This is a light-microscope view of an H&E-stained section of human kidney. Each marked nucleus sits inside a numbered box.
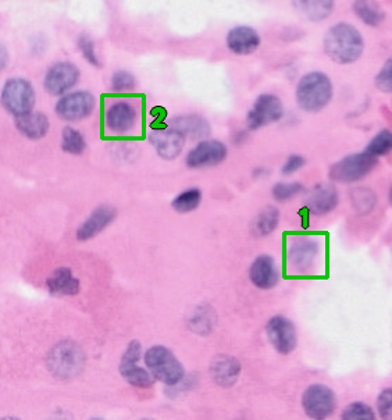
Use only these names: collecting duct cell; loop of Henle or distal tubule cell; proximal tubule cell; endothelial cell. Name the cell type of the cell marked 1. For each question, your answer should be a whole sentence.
The cell numbered 1 represents a loop of Henle or distal tubule cell.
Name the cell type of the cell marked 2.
The cell that is numbered 2 is a collecting duct cell.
